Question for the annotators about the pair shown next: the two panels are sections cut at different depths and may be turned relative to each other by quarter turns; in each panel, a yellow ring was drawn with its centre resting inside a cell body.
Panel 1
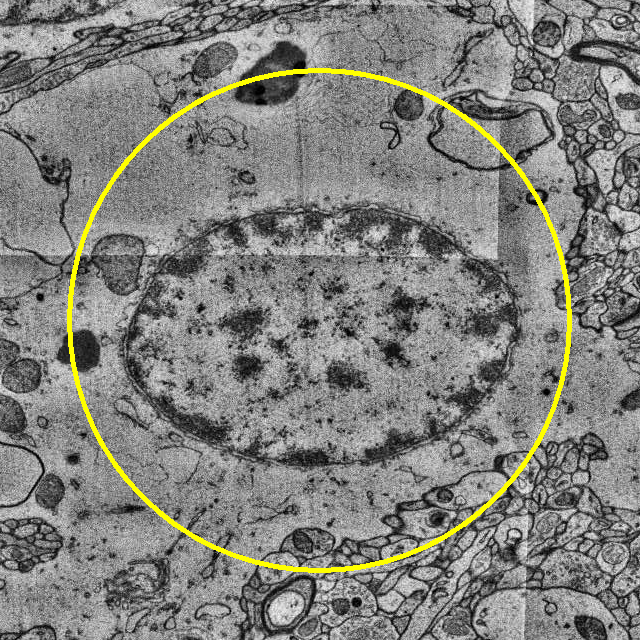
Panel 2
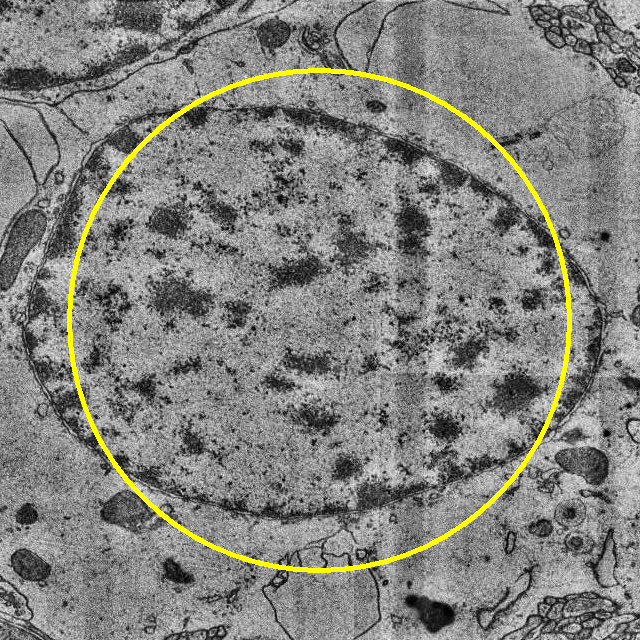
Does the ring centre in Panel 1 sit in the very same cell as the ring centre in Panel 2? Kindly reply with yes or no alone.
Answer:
yes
